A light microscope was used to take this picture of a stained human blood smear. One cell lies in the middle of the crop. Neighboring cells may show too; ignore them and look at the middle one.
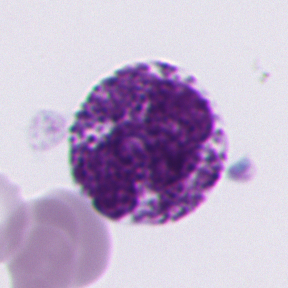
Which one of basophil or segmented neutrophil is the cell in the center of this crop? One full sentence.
To answer, the cell in the center of the crop is a basophil.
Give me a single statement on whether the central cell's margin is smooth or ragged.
Its periphery is smooth, and no projections arise from it.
